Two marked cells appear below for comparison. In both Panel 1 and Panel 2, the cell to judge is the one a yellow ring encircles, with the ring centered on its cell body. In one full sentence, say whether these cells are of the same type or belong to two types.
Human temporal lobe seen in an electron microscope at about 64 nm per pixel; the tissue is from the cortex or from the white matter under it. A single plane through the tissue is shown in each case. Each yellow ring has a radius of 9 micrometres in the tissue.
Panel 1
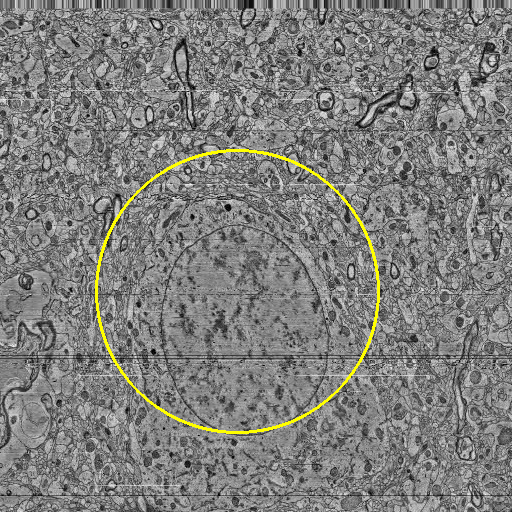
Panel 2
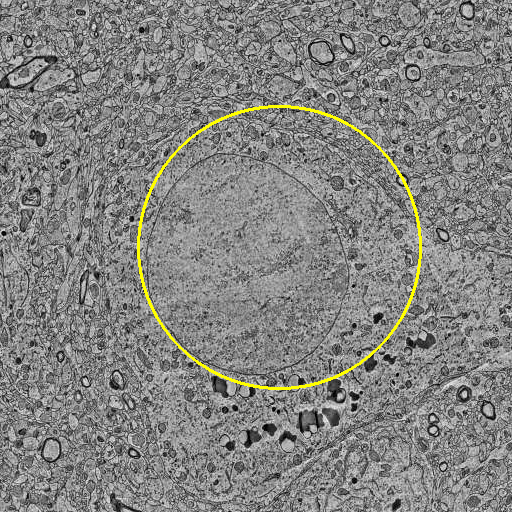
The cell centered in the Panel 1 ring and the one in Panel 2 are of the same type.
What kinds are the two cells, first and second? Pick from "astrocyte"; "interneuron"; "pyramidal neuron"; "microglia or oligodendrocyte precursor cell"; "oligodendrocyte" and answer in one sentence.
Both pictures show a pyramidal neuron at the centre of the ring.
